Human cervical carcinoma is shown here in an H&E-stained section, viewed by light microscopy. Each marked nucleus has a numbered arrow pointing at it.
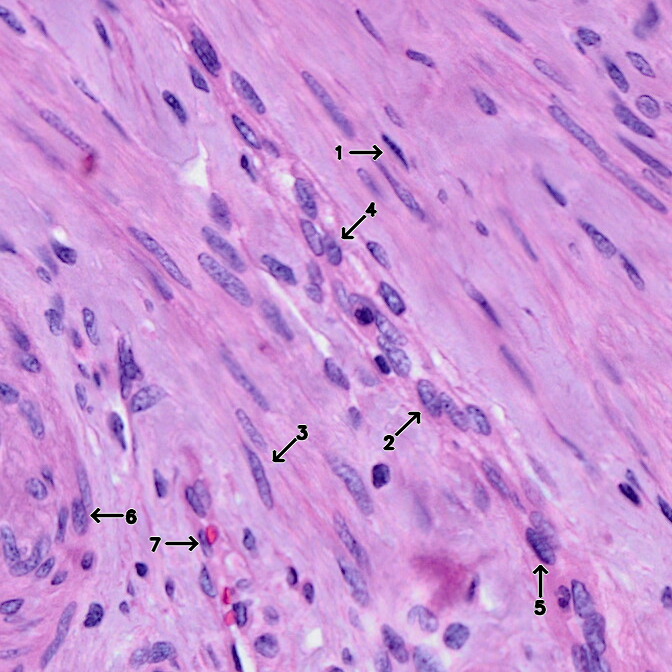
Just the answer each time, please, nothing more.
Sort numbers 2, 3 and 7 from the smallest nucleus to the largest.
7, 2, 3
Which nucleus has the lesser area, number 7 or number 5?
7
